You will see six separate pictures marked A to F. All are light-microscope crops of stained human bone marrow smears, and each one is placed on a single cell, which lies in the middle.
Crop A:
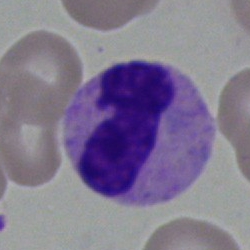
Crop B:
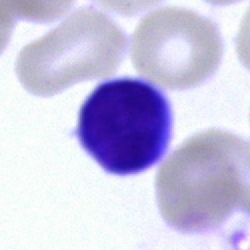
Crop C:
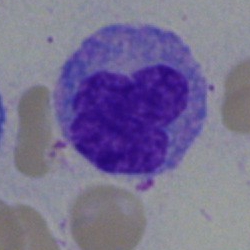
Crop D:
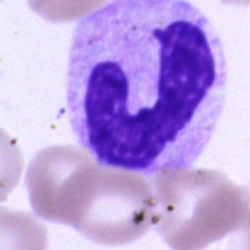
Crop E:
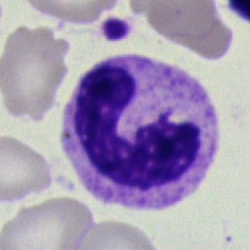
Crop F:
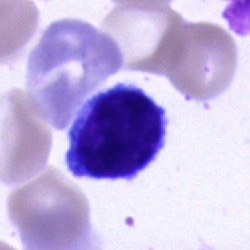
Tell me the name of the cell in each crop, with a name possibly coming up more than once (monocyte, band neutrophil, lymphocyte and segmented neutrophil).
A: band neutrophil
B: lymphocyte
C: monocyte
D: band neutrophil
E: band neutrophil
F: lymphocyte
